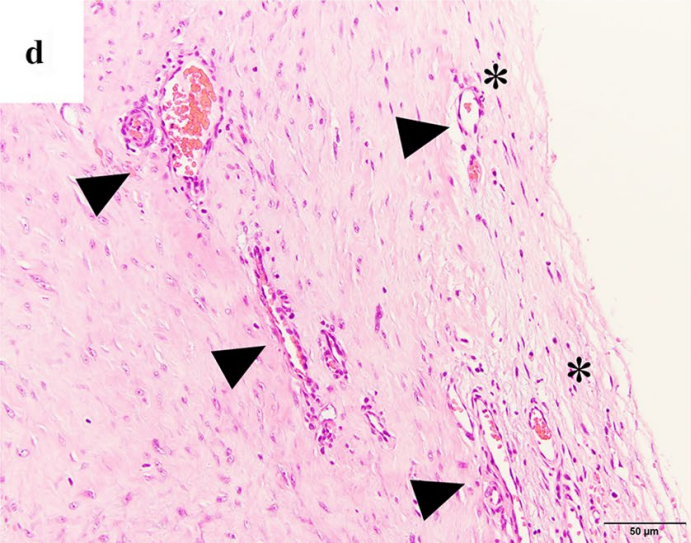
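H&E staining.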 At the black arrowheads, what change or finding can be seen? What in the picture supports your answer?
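Abundant vascularity. The arrowheads point toward small vessels lined by endothelial cells. Several vessels contain red blood cells. Vessels cluster along the border zone.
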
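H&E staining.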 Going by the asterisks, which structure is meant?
capsule-like structure of fibrous tissue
